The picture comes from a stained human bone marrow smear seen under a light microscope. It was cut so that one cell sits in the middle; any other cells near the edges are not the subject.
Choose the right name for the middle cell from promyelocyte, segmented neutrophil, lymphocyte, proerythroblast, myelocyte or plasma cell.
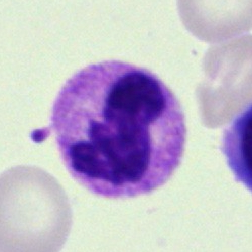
segmented neutrophil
